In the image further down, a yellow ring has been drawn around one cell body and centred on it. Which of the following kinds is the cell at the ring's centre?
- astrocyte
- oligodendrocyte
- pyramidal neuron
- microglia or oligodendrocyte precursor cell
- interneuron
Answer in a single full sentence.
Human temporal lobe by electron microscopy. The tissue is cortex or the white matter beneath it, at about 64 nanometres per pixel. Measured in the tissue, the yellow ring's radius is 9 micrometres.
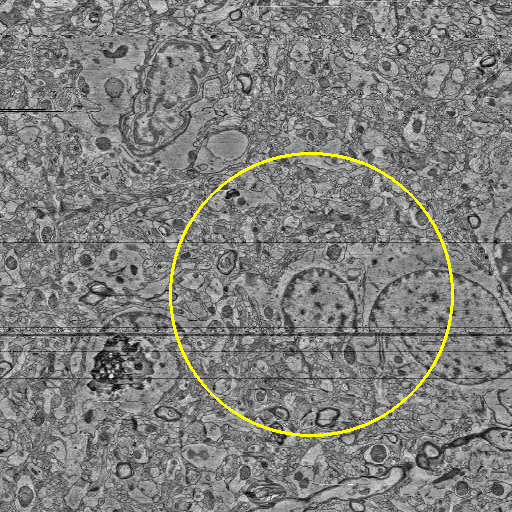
In the picture, the cell sitting at the centre of the yellow ring is an astrocyte.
